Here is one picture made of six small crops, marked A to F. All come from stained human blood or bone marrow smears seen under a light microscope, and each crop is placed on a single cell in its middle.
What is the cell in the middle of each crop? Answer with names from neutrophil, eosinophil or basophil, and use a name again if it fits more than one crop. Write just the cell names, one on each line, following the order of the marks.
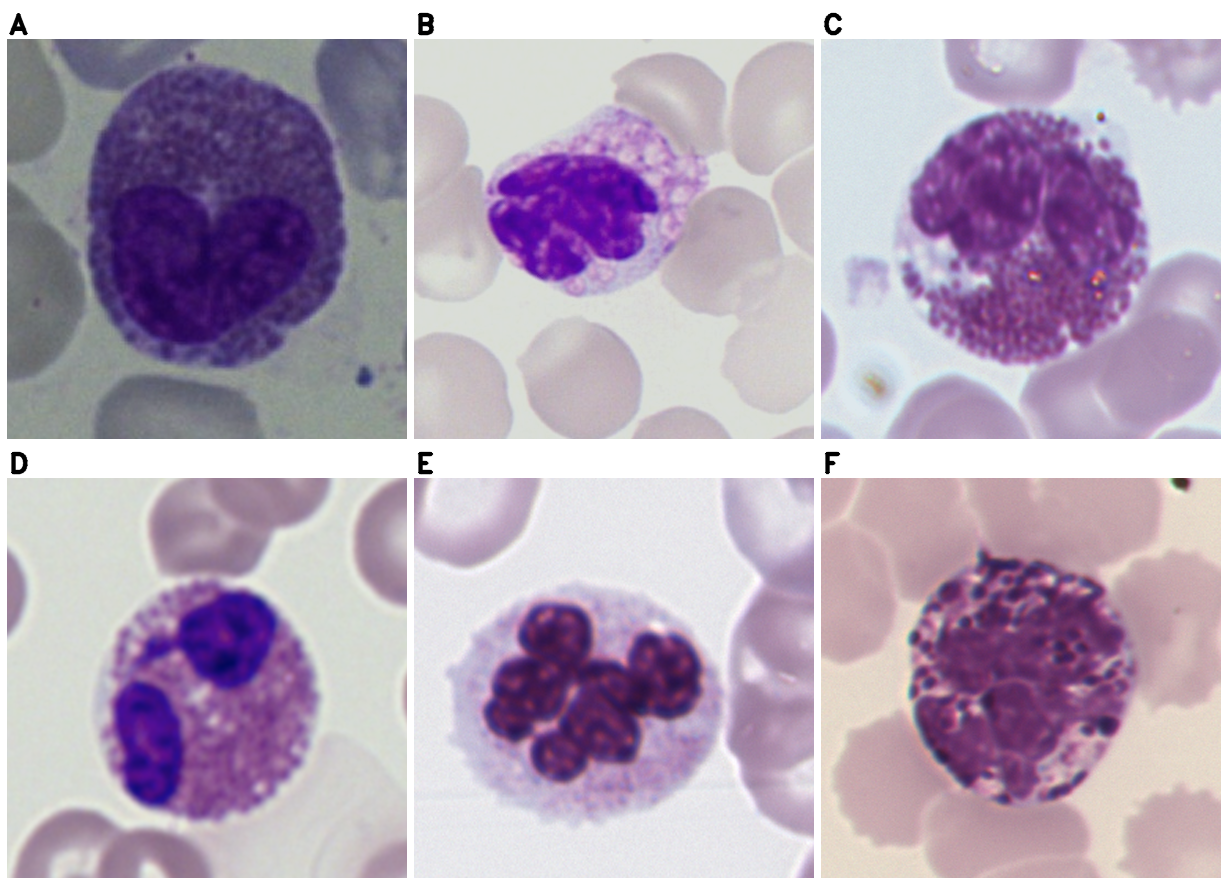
eosinophil
basophil
eosinophil
eosinophil
neutrophil
basophil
